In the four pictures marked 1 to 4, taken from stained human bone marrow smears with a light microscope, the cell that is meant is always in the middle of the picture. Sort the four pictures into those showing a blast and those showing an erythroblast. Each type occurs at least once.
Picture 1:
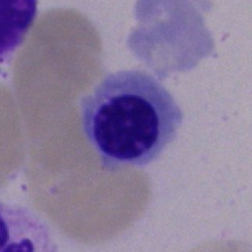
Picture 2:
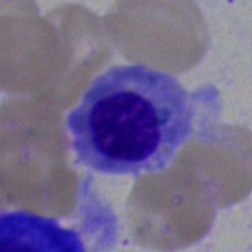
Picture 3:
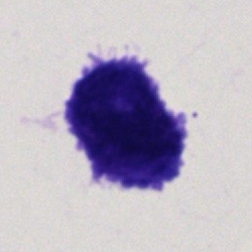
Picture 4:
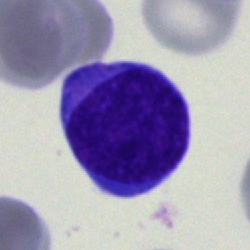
1: erythroblast
2: erythroblast
3: blast
4: blast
